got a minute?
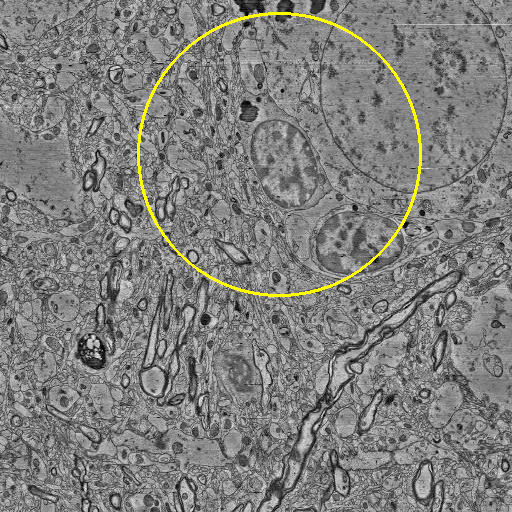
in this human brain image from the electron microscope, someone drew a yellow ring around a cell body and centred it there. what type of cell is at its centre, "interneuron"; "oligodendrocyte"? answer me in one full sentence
It's an oligodendrocyte at the middle of that yellow ring in the shot.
